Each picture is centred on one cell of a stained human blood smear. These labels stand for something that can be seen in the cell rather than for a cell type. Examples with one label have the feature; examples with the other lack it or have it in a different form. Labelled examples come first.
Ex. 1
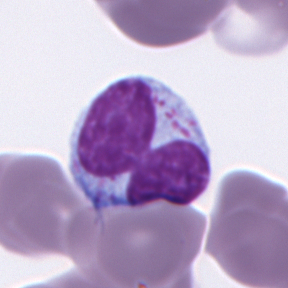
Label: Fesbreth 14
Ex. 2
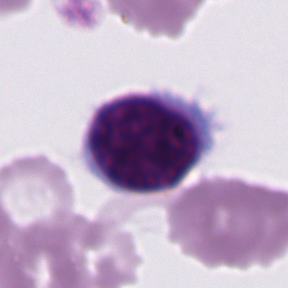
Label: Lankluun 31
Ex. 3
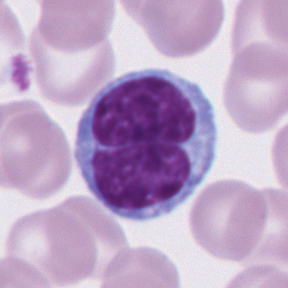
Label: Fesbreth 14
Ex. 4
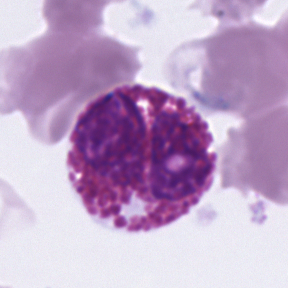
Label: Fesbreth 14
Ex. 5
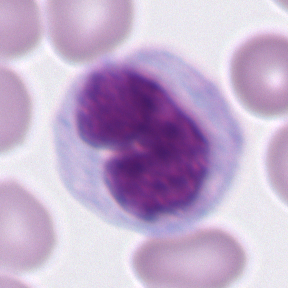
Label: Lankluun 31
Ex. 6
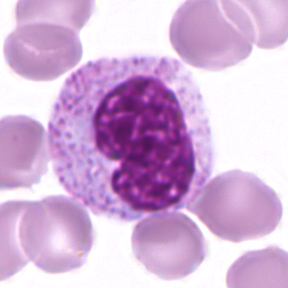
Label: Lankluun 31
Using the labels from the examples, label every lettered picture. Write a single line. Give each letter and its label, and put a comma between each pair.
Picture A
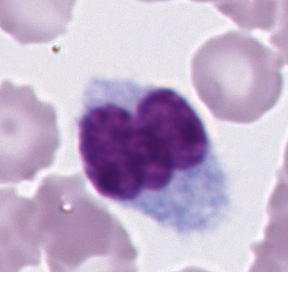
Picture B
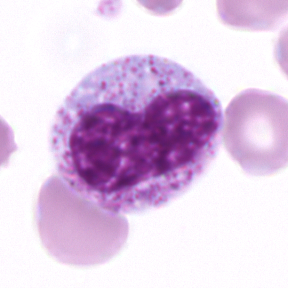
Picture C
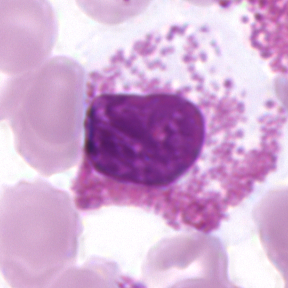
A Fesbreth 14, B Fesbreth 14, C Lankluun 31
